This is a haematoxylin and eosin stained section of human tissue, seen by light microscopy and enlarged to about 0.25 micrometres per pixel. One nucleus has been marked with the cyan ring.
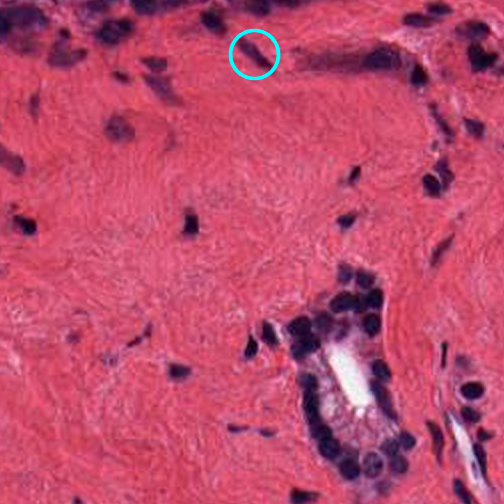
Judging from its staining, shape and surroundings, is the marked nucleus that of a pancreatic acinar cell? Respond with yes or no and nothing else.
no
